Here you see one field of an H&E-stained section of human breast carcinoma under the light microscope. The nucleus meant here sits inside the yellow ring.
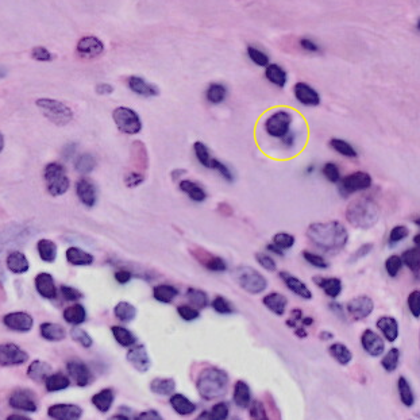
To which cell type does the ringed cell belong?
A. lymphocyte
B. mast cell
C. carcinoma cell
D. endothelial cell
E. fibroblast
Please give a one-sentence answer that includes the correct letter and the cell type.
Option A gets it right, as the ringed cell is a lymphocyte.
